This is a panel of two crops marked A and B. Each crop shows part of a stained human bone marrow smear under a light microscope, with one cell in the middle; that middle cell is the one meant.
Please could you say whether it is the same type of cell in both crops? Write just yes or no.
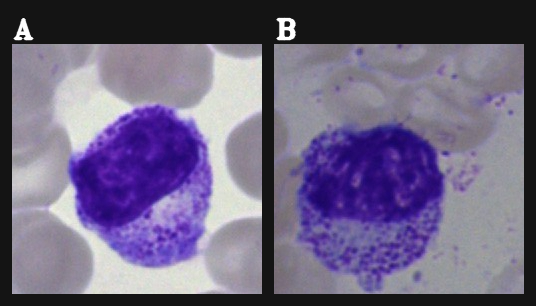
yes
